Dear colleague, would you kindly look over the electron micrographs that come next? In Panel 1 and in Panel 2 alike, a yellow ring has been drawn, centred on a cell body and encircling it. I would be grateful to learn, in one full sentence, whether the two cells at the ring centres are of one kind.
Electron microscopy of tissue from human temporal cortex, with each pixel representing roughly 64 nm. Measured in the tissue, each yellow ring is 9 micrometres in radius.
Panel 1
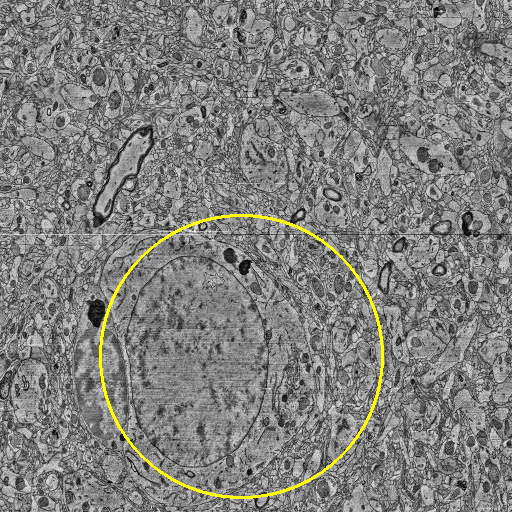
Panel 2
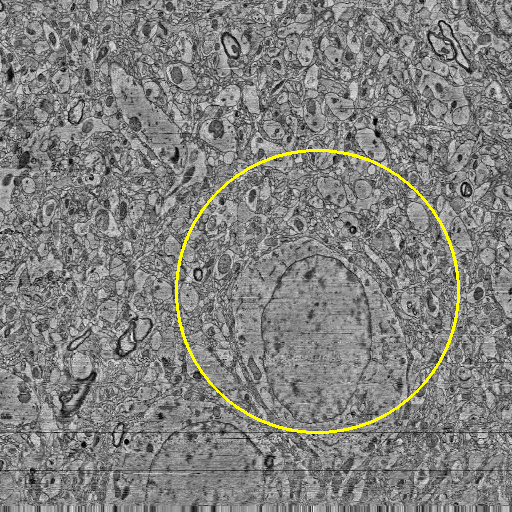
Yes, the cells in the middle of the rings in the two panels are of one kind.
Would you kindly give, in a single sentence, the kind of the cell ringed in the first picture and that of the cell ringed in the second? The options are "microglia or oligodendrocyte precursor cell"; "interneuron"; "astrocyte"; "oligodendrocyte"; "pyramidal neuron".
In the first picture and in the second, the ring is centred on a pyramidal neuron.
